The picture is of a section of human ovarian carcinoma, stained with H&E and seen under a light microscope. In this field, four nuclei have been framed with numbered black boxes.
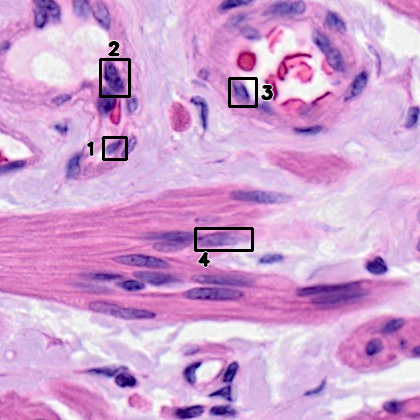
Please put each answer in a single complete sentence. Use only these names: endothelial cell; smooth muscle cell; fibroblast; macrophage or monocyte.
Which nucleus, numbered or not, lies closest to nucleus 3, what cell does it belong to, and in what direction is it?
It is an endothelial cell, whose nucleus lies below and to the right of nucleus 3.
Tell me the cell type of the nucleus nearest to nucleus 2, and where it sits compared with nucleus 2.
Just below nucleus 2 lies the nearest nucleus, which belongs to an endothelial cell.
